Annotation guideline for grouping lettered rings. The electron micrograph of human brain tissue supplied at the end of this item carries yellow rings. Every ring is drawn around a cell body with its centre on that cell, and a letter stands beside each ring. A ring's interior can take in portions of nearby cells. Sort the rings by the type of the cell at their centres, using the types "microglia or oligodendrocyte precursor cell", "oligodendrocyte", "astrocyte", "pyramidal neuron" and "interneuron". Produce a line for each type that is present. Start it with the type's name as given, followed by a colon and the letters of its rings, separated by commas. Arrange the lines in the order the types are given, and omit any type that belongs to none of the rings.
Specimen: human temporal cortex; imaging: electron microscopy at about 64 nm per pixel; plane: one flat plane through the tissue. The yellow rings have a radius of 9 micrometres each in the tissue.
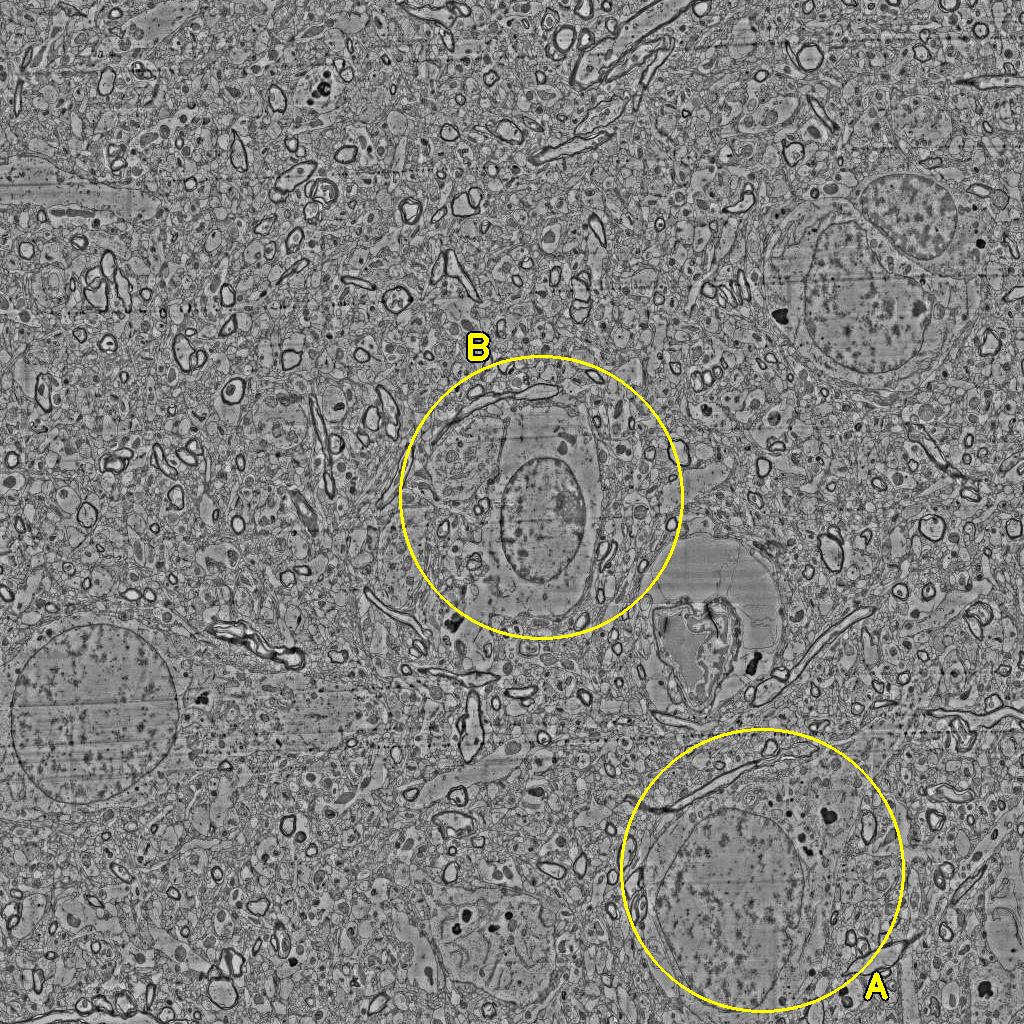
astrocyte: B
pyramidal neuron: A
